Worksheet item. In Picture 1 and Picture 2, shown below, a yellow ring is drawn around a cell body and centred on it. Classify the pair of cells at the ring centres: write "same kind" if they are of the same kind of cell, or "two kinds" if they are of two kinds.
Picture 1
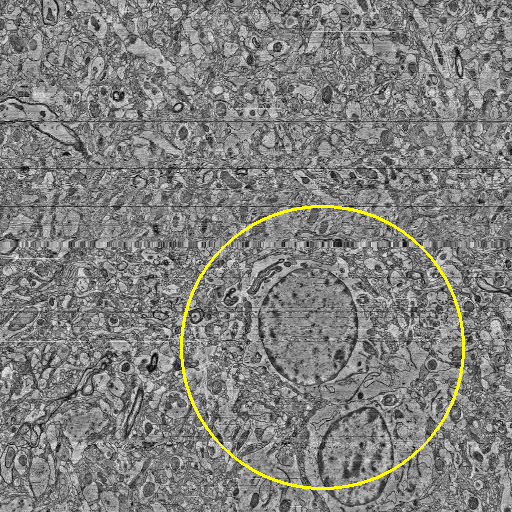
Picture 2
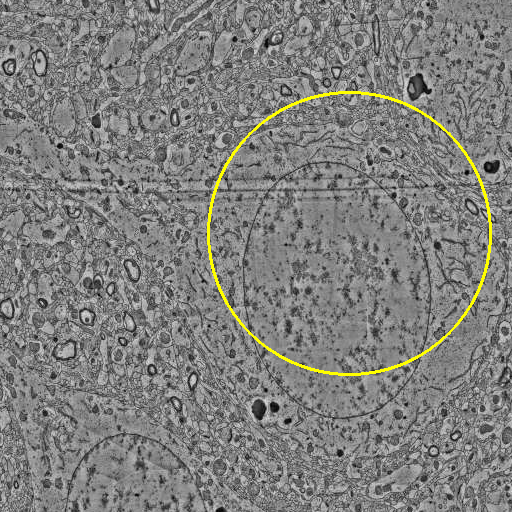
two kinds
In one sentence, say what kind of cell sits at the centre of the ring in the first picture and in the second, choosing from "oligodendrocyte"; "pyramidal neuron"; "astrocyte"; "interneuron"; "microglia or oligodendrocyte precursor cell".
The first picture's ringed cell is an astrocyte, while the second picture's is a pyramidal neuron.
